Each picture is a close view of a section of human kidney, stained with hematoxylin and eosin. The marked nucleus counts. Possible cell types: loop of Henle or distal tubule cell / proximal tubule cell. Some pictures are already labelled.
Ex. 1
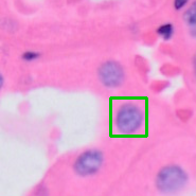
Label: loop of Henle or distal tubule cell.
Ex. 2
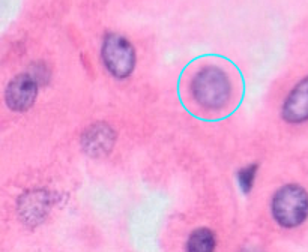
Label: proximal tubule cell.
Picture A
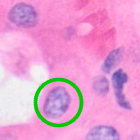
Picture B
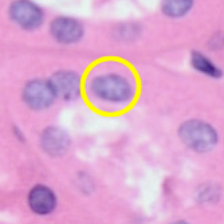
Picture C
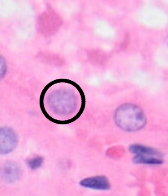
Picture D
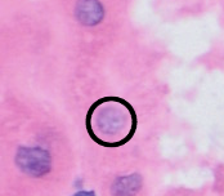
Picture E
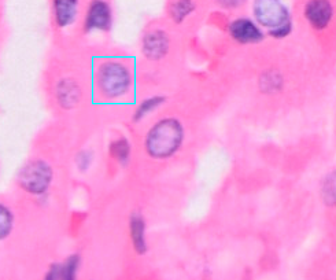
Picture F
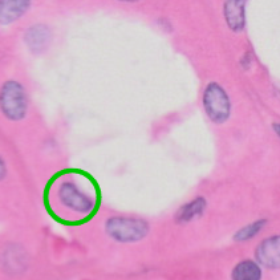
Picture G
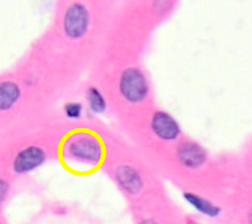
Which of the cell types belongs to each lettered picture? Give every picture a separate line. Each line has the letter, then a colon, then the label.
A: loop of Henle or distal tubule cell.
B: loop of Henle or distal tubule cell.
C: proximal tubule cell.
D: proximal tubule cell.
E: loop of Henle or distal tubule cell.
F: loop of Henle or distal tubule cell.
G: loop of Henle or distal tubule cell.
